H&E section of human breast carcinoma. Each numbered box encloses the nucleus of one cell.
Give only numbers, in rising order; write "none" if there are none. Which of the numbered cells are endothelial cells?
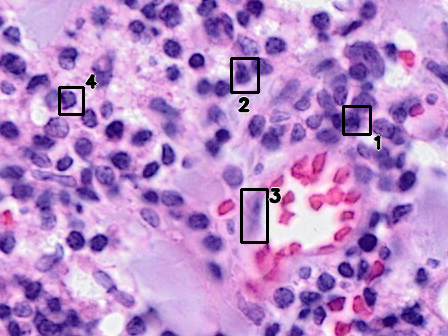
3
